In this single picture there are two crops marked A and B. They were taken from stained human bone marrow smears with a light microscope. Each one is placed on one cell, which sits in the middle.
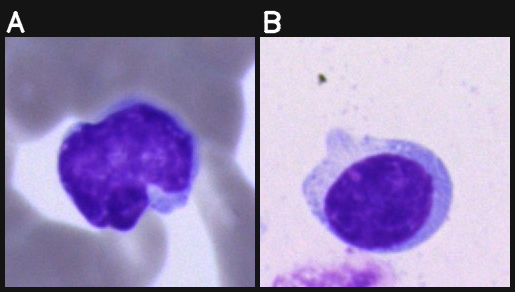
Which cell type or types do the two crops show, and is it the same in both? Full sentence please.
Yes, shown in both crops are lymphocytes.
